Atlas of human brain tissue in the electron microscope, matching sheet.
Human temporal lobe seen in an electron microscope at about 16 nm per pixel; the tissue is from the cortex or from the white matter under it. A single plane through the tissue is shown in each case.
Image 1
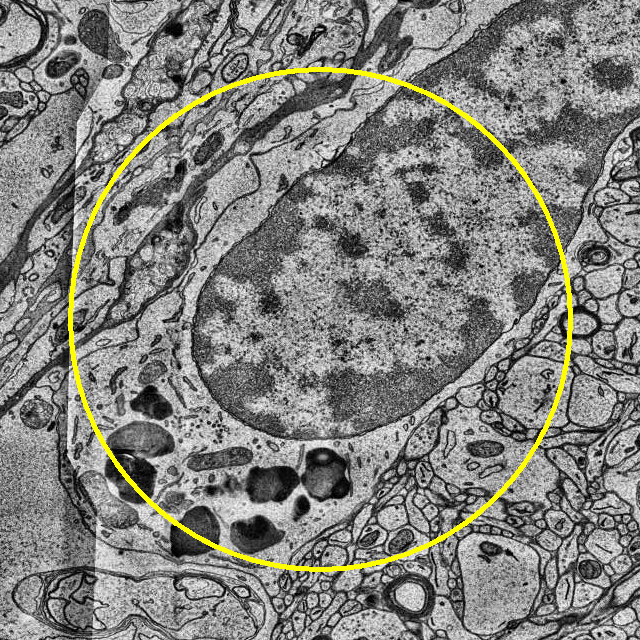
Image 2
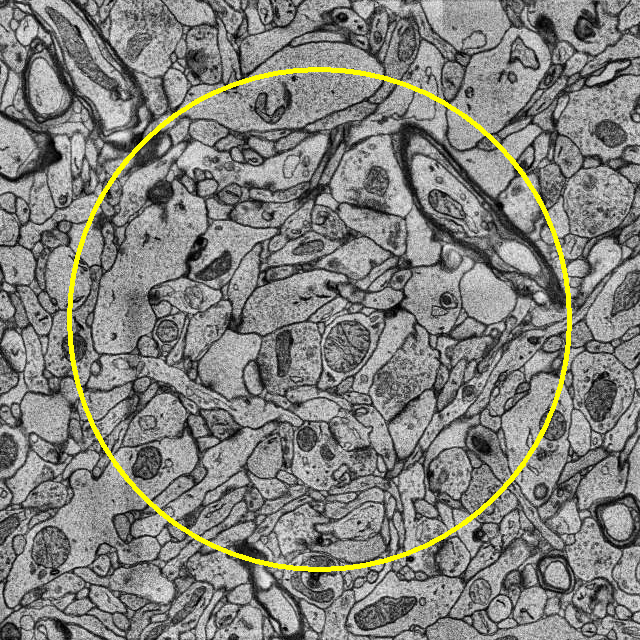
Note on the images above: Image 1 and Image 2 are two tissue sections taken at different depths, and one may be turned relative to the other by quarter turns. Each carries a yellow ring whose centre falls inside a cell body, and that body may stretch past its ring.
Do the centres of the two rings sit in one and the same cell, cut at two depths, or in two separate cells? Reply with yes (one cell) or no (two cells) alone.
no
